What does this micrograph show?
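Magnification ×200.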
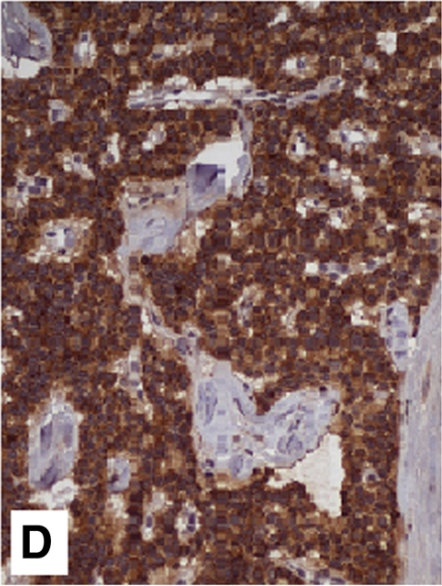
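This is a tumor made of sheets and nests of small, fairly uniform round cells whose cytoplasm is strongly and diffusely stained brown. The cell groups are separated by thin, delicate fibrovascular septa with small vessels, whose elongated blue nuclei and pale stroma remain unstained.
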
